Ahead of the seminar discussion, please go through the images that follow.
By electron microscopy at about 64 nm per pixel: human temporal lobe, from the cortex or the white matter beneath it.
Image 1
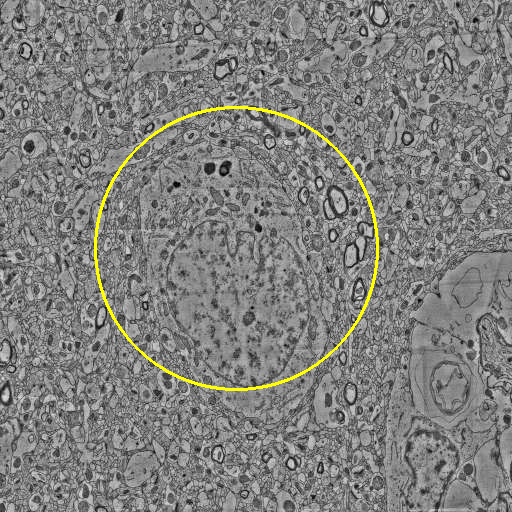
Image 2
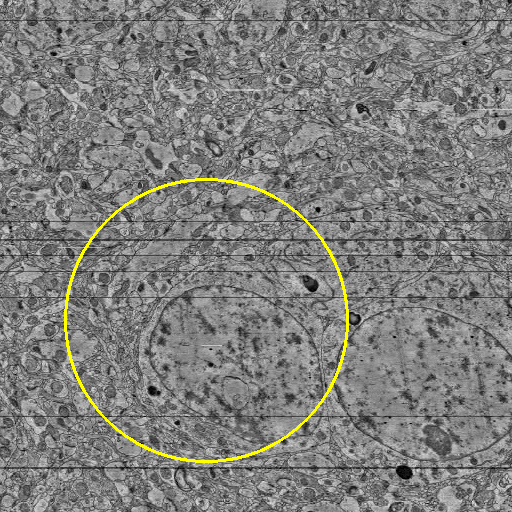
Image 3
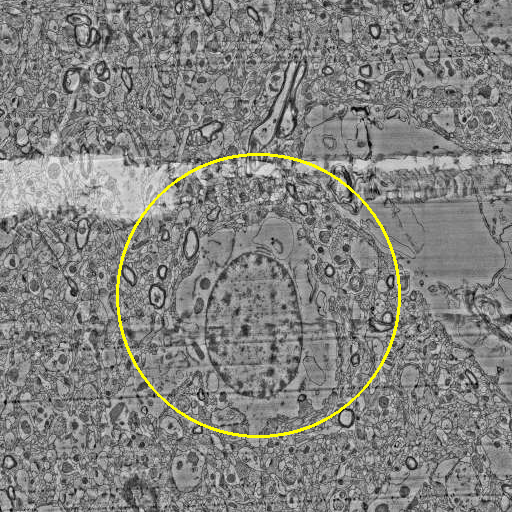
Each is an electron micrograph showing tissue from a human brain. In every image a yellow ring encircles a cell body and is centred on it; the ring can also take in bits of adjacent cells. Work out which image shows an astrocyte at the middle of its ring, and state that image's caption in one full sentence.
In Image 3, the ring's centre holds the cell you are looking for.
